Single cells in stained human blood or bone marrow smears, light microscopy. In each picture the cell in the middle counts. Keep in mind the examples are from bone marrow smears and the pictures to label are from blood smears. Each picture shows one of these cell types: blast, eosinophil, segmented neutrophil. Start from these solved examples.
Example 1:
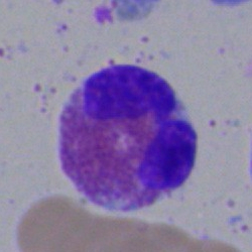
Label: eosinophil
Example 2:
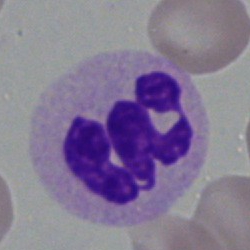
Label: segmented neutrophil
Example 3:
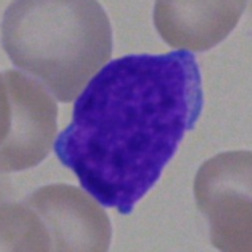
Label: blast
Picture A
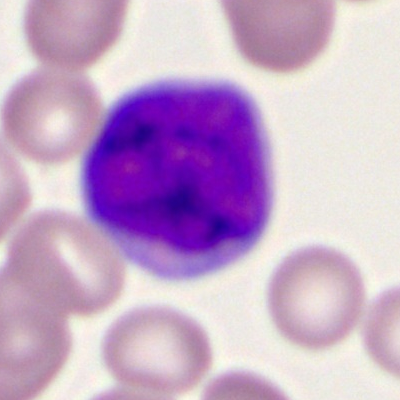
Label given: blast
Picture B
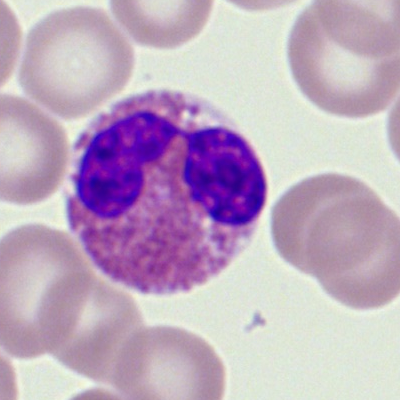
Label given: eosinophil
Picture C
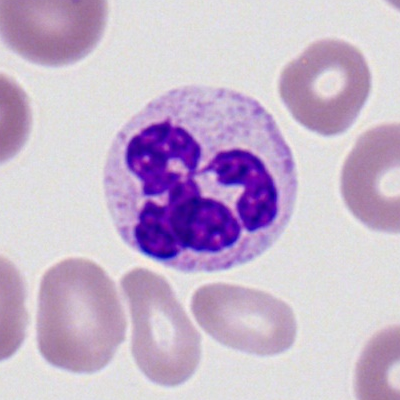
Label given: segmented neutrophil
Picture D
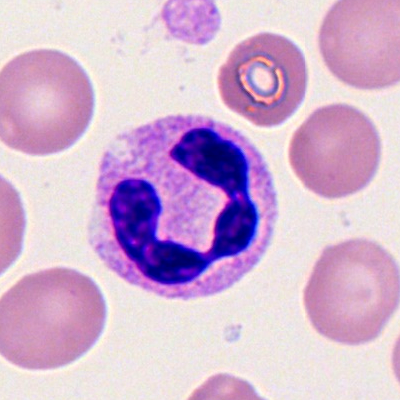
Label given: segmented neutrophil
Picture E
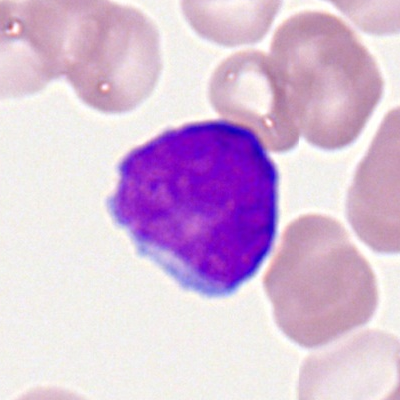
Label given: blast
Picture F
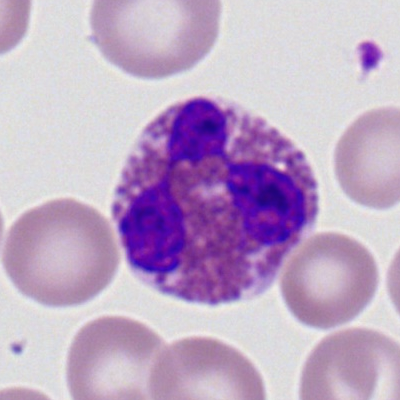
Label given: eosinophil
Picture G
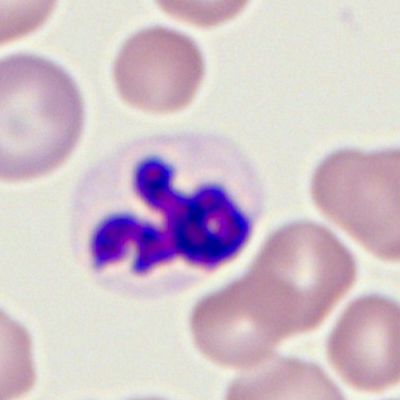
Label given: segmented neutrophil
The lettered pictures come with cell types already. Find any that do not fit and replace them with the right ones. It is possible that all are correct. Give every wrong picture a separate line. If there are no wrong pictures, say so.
No label is wrong.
